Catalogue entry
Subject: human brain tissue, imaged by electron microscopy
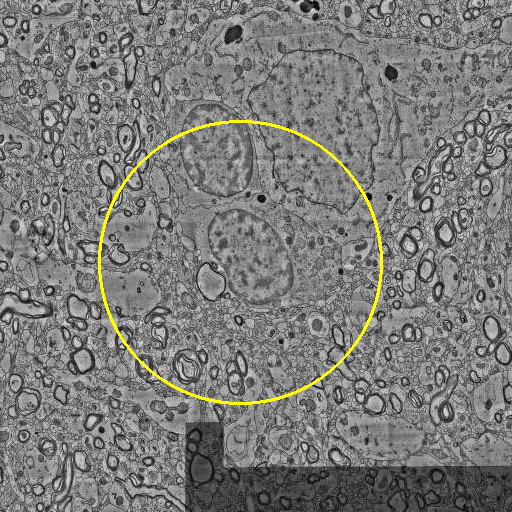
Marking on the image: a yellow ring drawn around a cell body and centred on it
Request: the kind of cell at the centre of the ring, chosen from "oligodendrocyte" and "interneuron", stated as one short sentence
The ring has an oligodendrocyte at its centre.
